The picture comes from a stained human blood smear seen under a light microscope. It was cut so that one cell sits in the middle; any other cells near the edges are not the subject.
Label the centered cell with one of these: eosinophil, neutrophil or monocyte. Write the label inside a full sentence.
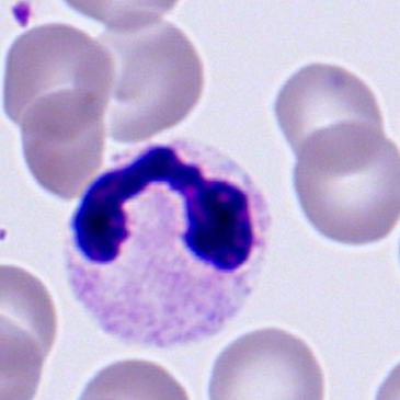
The cell around which this crop is centred is a neutrophil.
